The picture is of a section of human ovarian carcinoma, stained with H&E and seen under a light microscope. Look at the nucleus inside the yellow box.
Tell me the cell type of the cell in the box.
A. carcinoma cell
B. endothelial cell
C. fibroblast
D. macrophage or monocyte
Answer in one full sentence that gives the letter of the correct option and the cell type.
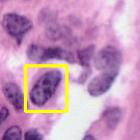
As the cell in the box is a macrophage or monocyte, the correct choice is option D.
